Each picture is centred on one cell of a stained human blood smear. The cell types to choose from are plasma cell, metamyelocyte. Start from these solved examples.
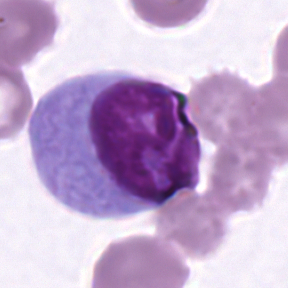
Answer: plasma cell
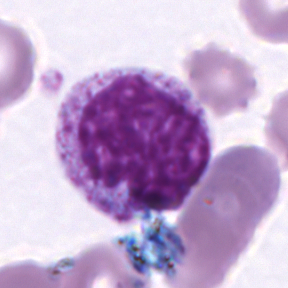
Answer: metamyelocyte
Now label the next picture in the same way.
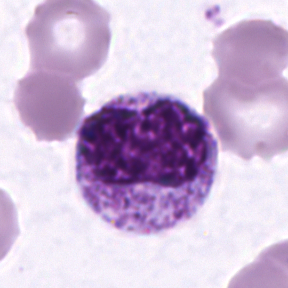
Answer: metamyelocyte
